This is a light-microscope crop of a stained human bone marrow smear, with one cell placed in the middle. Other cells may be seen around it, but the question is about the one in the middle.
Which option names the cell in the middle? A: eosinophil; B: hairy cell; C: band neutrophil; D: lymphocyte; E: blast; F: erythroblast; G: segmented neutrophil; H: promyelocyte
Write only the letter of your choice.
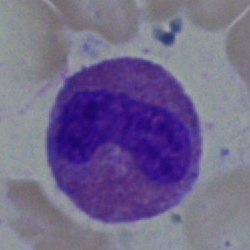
A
